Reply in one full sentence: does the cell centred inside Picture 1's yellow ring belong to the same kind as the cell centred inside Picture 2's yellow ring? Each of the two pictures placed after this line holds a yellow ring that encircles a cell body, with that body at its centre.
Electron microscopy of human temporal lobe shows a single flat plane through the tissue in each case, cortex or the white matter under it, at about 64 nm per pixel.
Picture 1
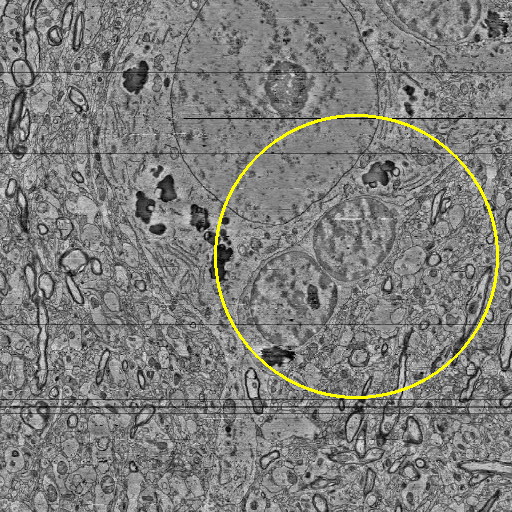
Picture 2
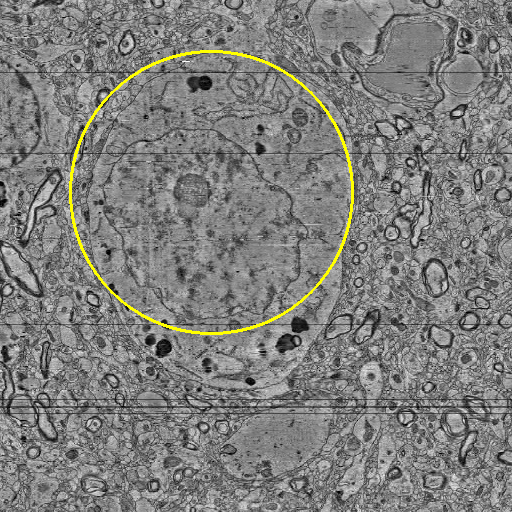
No, the ring-centred cells in Picture 1 and Picture 2 are of two separate kinds.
